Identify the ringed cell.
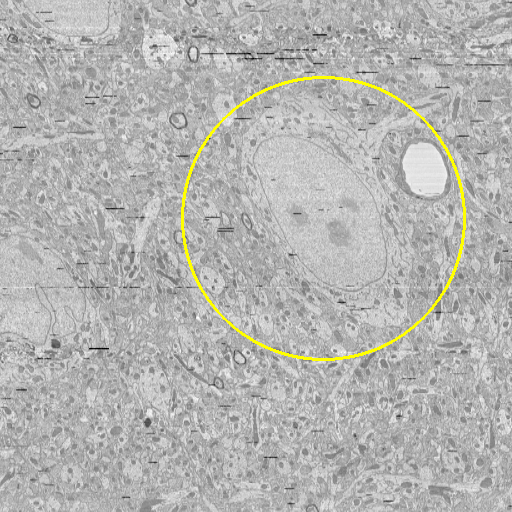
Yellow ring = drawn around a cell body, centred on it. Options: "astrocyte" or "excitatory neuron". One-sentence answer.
What the ring is centred on is an excitatory neuron.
